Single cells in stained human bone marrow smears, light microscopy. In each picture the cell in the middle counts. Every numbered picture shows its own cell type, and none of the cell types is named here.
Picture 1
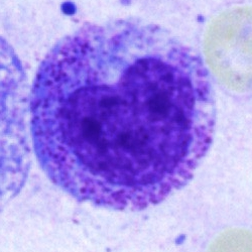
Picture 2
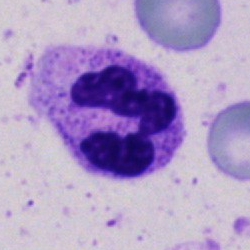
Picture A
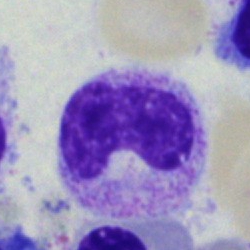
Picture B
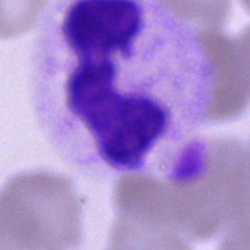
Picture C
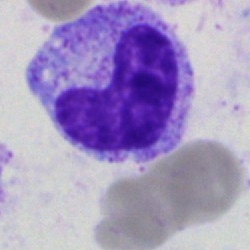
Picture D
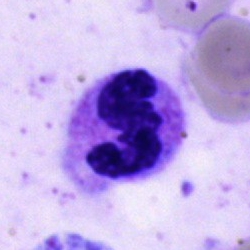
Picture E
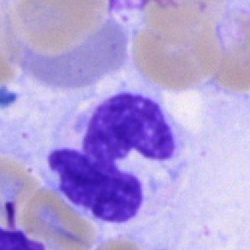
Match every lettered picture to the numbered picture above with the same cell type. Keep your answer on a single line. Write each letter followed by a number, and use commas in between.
A 1, B 2, C 1, D 2, E 2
